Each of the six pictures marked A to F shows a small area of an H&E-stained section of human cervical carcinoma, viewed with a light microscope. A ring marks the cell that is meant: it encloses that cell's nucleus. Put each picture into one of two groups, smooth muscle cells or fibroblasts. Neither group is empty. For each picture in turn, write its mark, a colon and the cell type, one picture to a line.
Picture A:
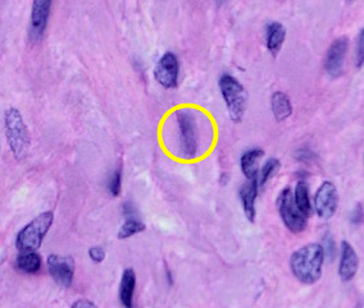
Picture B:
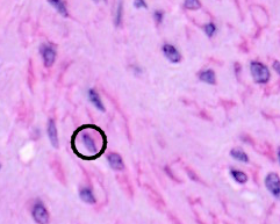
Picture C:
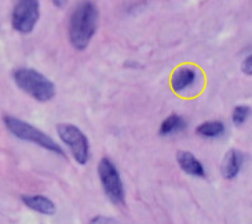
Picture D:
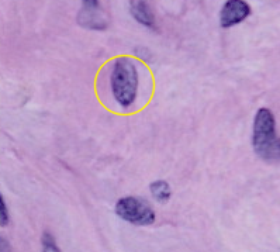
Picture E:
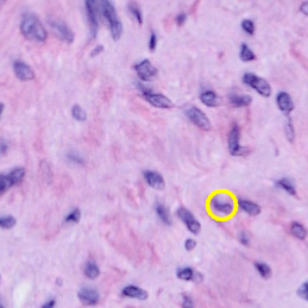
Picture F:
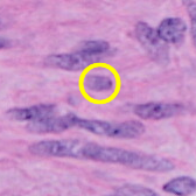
A: fibroblast
B: smooth muscle cell
C: fibroblast
D: fibroblast
E: smooth muscle cell
F: smooth muscle cell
